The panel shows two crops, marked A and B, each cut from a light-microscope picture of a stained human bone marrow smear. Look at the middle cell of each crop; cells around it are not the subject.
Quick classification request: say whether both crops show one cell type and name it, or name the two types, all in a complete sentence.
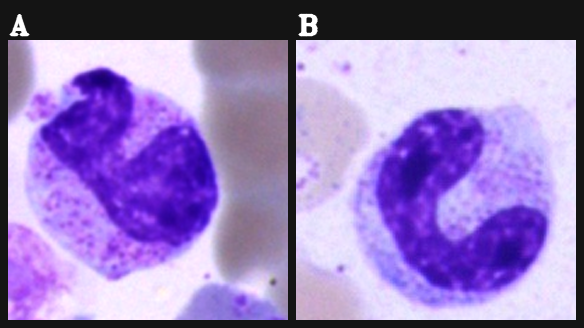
Yes, the cells centred in the two crops are both band neutrophils.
